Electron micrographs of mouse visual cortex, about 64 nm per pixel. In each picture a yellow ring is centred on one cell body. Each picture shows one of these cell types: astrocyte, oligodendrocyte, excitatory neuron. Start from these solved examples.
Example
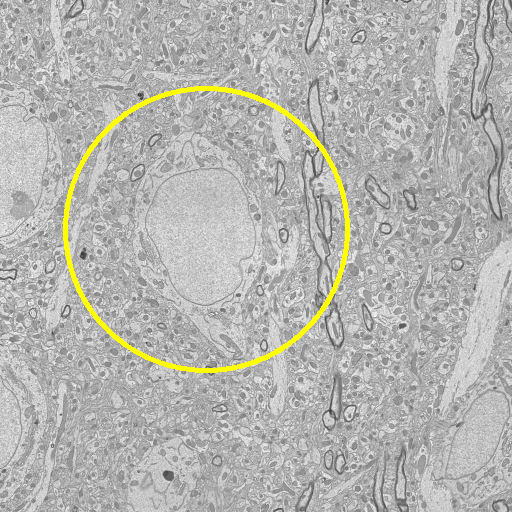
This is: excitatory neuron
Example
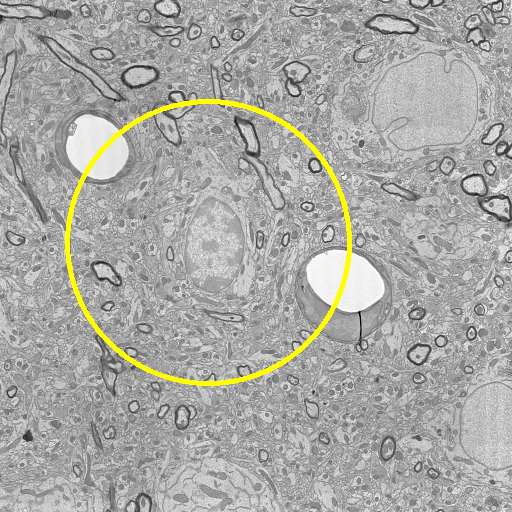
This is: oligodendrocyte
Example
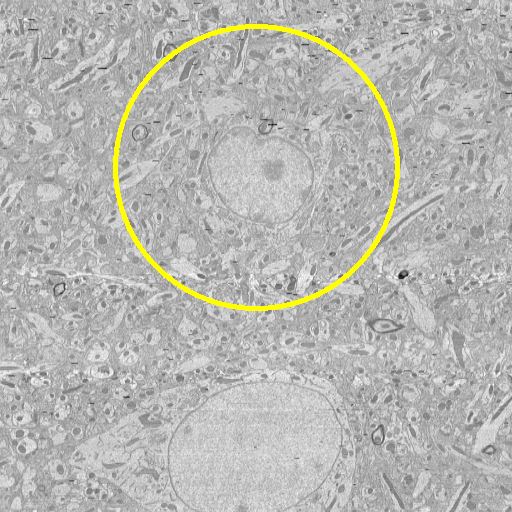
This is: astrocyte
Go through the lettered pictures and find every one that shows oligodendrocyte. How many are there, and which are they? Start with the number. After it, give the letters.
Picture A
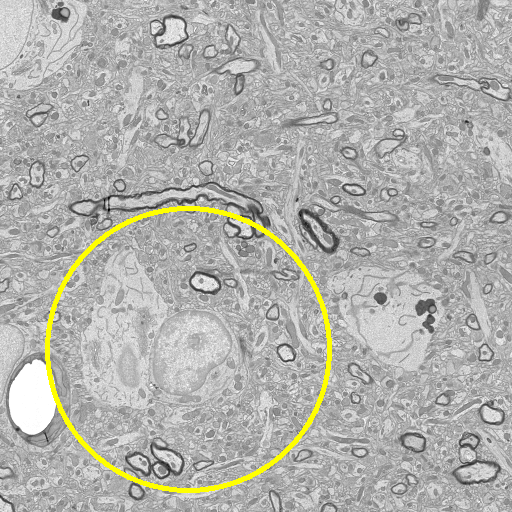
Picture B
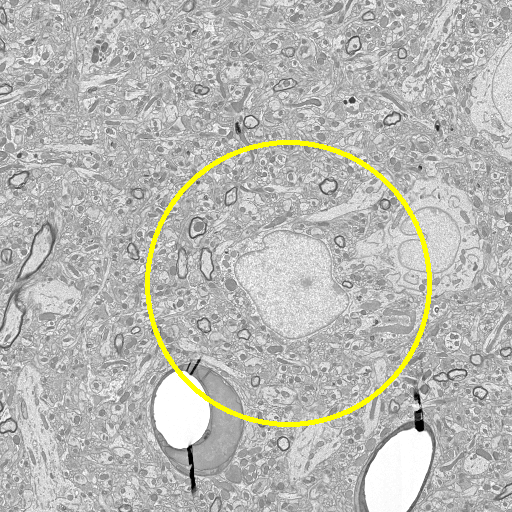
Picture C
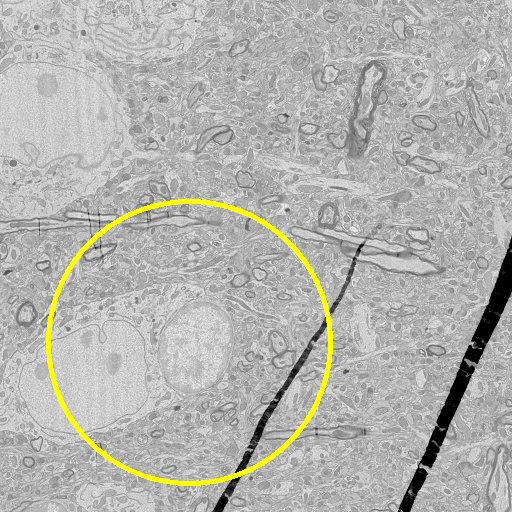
Count: 2 (A, C)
